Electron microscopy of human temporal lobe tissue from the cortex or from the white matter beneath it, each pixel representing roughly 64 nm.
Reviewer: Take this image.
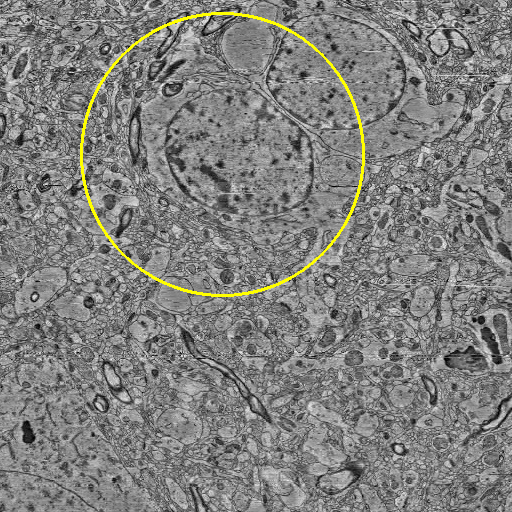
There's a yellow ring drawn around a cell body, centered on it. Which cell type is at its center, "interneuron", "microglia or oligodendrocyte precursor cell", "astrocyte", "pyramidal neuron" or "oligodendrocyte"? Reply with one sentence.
At the center of the yellow ring is an astrocyte.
